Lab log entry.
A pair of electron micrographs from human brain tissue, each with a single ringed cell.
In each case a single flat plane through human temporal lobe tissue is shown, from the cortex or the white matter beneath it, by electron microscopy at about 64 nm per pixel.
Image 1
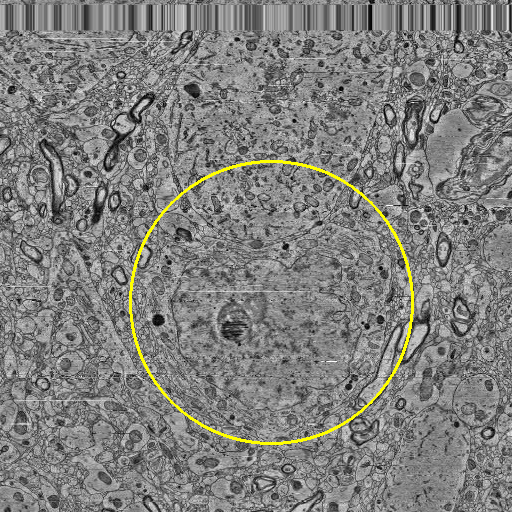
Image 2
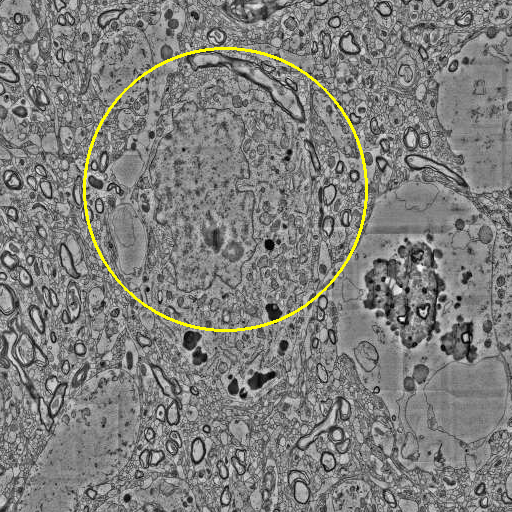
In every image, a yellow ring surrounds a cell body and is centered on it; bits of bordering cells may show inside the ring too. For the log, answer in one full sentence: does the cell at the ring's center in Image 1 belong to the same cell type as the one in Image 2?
Yes, the cells at the ring centers in Image 1 and Image 2 share one type.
